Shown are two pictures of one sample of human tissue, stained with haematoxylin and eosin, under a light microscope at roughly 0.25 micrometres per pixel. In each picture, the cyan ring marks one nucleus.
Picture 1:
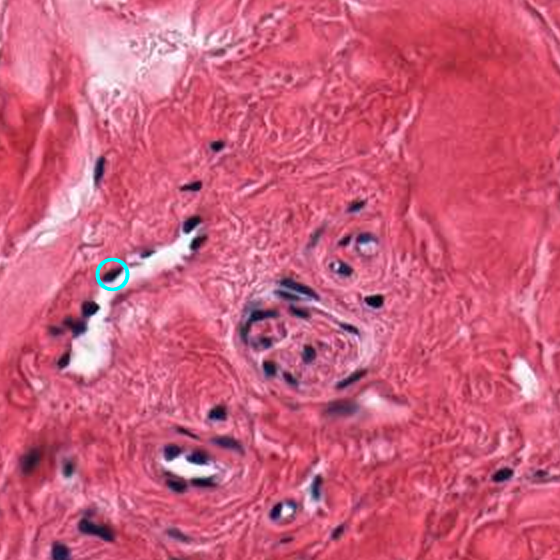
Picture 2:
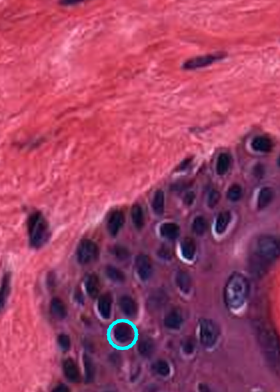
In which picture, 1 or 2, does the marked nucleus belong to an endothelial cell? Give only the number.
1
